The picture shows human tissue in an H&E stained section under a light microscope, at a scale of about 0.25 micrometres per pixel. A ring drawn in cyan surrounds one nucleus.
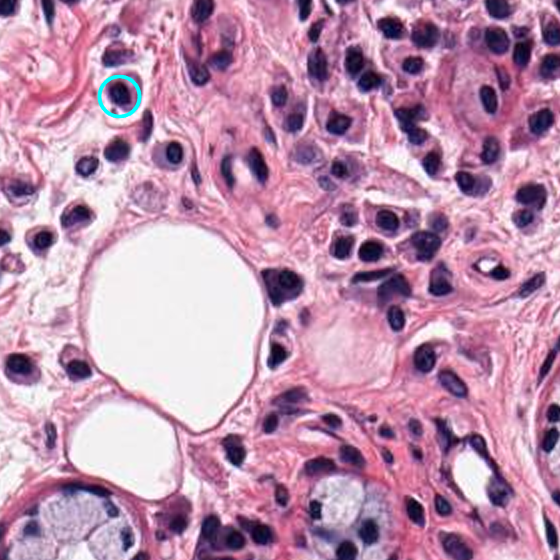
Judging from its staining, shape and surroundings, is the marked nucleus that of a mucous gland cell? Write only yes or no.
no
